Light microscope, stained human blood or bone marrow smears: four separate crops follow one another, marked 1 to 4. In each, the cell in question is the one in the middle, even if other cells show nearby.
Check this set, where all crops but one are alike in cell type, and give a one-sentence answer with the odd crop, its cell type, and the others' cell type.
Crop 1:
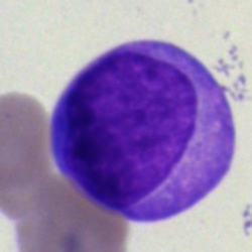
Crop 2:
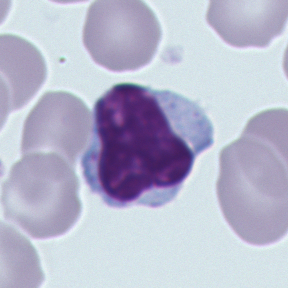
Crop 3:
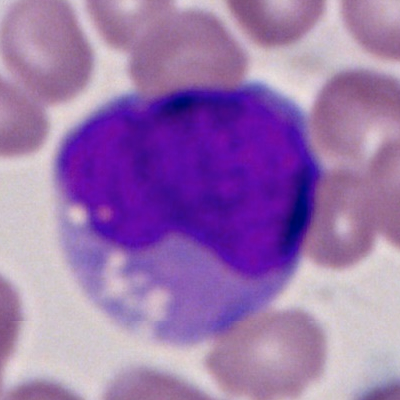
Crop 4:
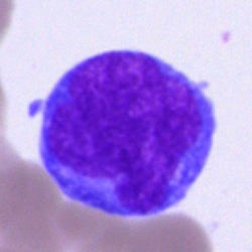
Crop 2 is the only one that is a lymphocyte; all the others show blasts.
